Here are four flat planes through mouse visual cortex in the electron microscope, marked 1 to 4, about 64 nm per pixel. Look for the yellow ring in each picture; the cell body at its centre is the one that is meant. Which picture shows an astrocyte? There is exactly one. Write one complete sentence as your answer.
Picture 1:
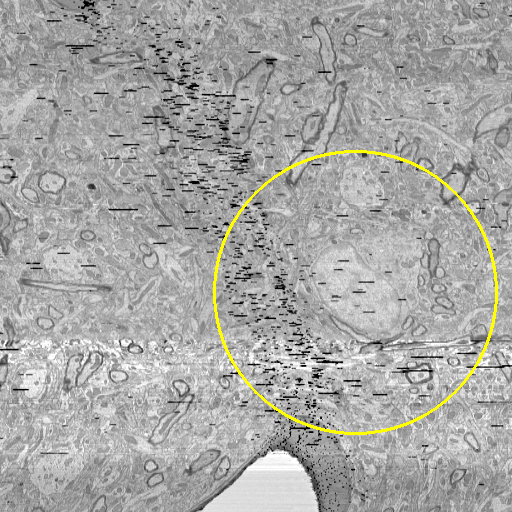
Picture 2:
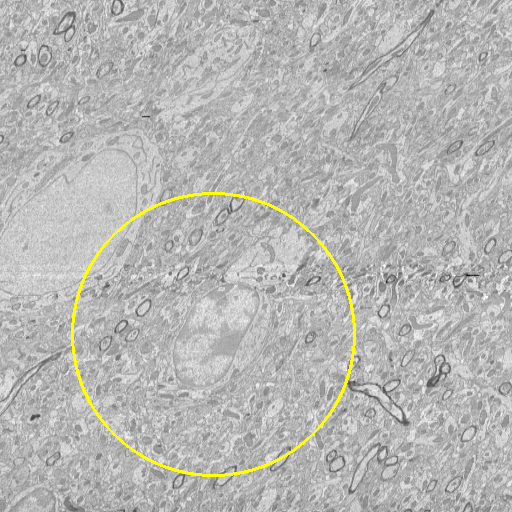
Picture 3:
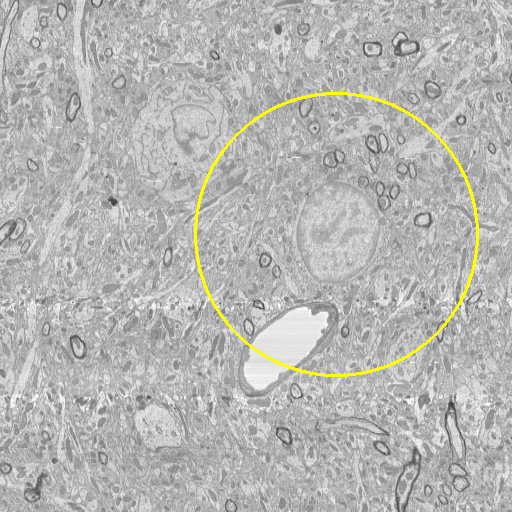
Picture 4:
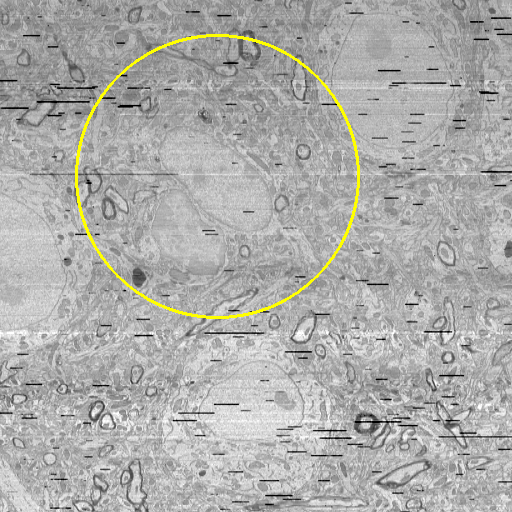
It is picture 4 that shows the astrocyte.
